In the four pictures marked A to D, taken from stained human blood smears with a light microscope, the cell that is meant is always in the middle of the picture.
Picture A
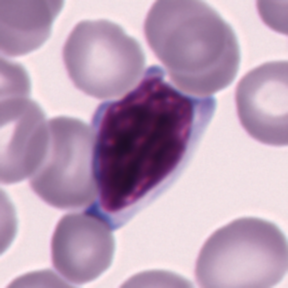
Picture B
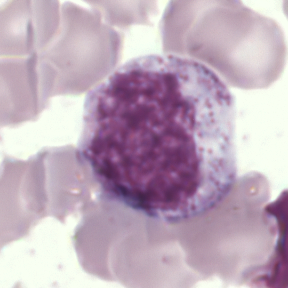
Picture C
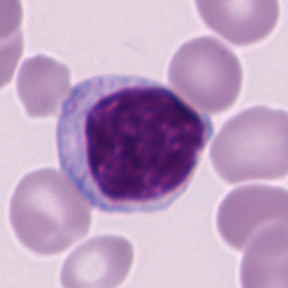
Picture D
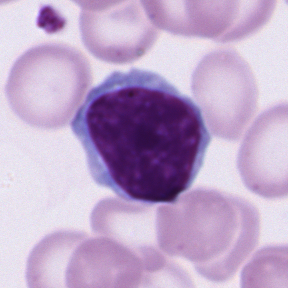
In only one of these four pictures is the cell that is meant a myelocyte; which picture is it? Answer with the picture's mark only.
B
